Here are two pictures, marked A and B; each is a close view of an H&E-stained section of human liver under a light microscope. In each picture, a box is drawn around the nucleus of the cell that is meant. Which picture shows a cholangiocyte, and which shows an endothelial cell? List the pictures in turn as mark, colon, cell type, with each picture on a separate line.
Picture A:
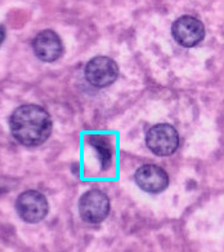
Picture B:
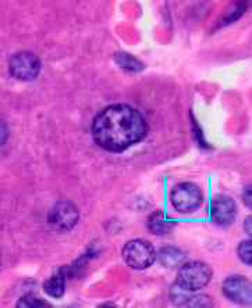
A: endothelial cell
B: cholangiocyte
